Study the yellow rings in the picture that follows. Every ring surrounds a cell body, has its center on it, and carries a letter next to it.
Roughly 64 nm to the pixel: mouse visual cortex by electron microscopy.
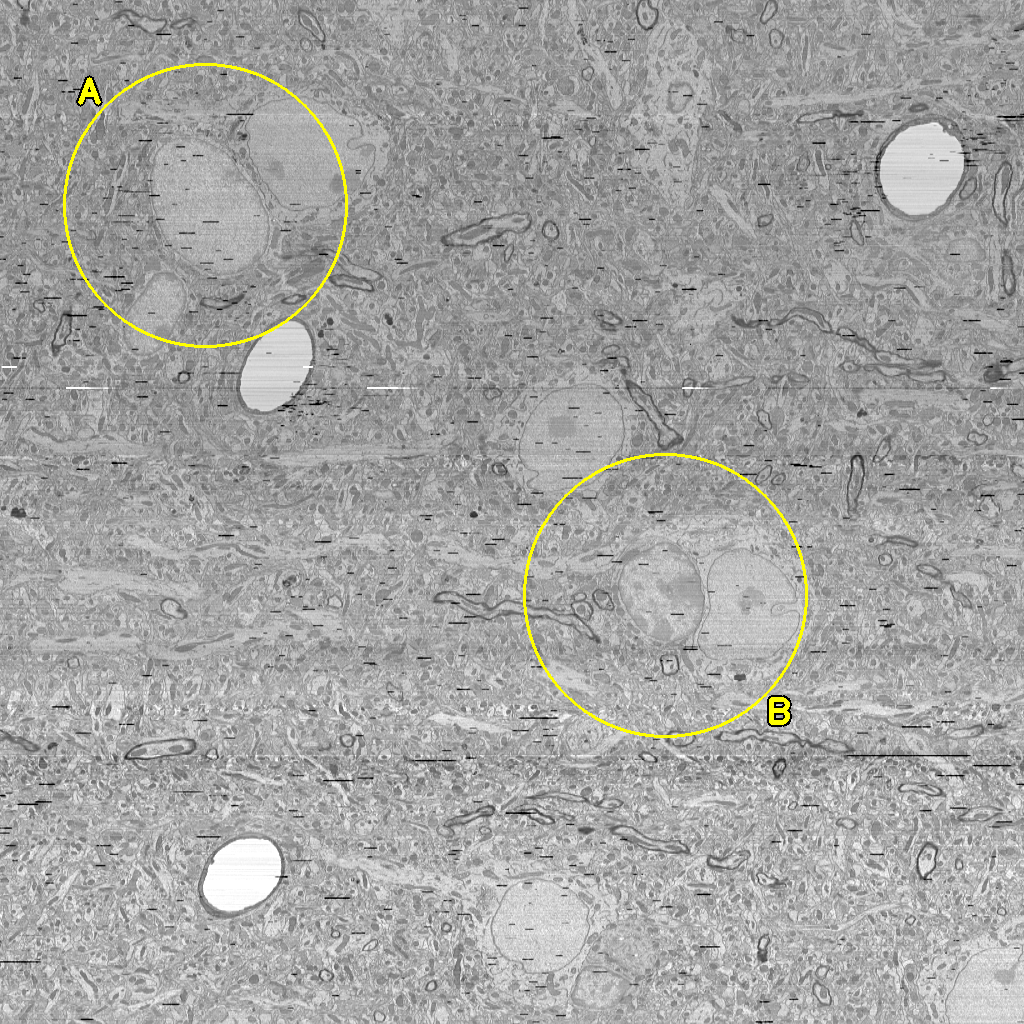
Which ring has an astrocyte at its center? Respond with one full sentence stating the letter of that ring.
The ring centered on the cell asked for carries the letter A.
